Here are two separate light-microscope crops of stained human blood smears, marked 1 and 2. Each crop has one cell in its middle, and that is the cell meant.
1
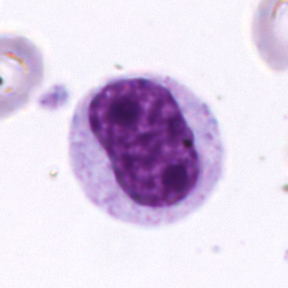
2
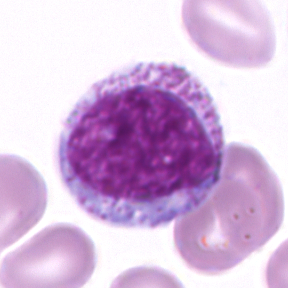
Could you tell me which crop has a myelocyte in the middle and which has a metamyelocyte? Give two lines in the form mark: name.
1: metamyelocyte
2: myelocyte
